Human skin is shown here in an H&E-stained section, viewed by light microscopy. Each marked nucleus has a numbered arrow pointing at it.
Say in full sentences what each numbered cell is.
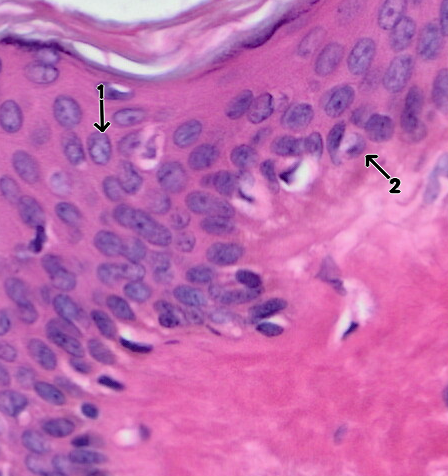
Cell 1 is a suprabasal keratinocyte and cell 2 is a basal keratinocyte.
